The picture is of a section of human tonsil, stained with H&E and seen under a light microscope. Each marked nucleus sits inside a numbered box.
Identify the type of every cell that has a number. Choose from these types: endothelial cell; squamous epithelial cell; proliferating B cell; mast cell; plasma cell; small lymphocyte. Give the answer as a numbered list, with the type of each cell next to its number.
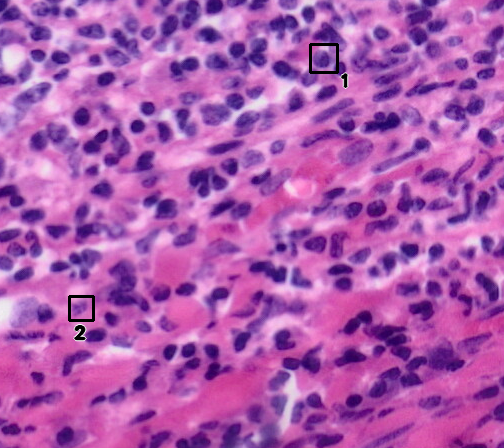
1. small lymphocyte
2. endothelial cell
